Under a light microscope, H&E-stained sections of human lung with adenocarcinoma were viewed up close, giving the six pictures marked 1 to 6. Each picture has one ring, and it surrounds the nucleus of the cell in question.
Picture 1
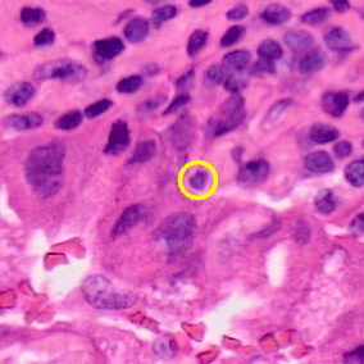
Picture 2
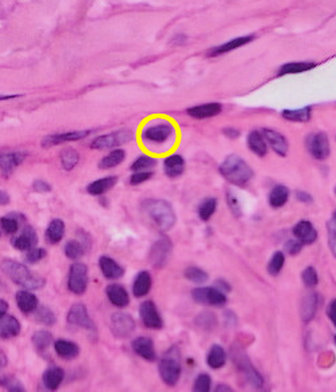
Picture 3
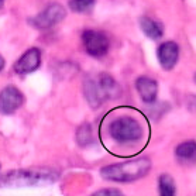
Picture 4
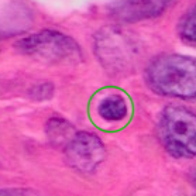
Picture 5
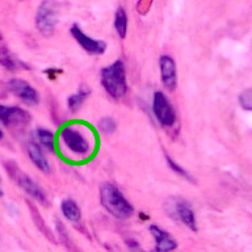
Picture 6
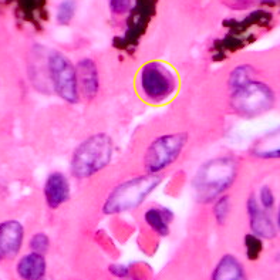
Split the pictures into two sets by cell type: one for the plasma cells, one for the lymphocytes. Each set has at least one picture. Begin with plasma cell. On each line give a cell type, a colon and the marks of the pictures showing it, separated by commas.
plasma cell: 5, 6
lymphocyte: 1, 2, 3, 4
